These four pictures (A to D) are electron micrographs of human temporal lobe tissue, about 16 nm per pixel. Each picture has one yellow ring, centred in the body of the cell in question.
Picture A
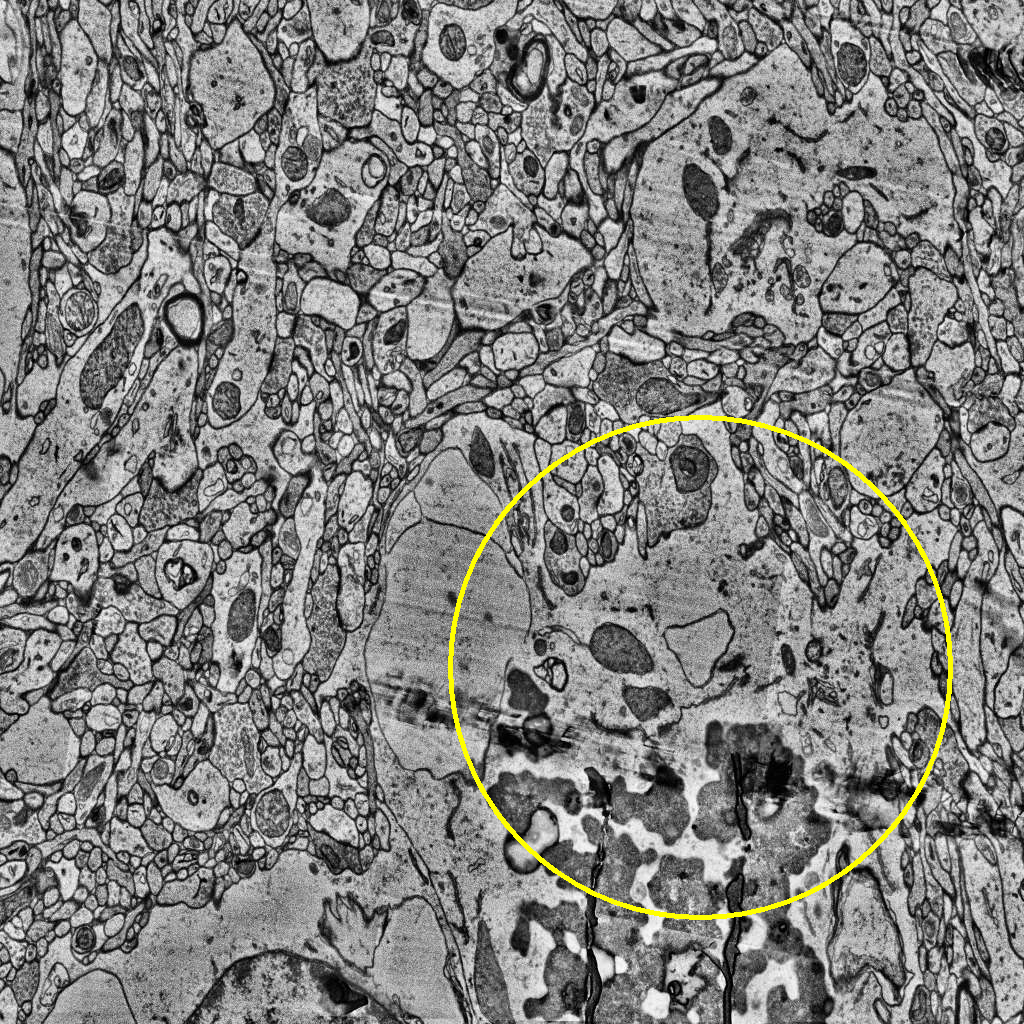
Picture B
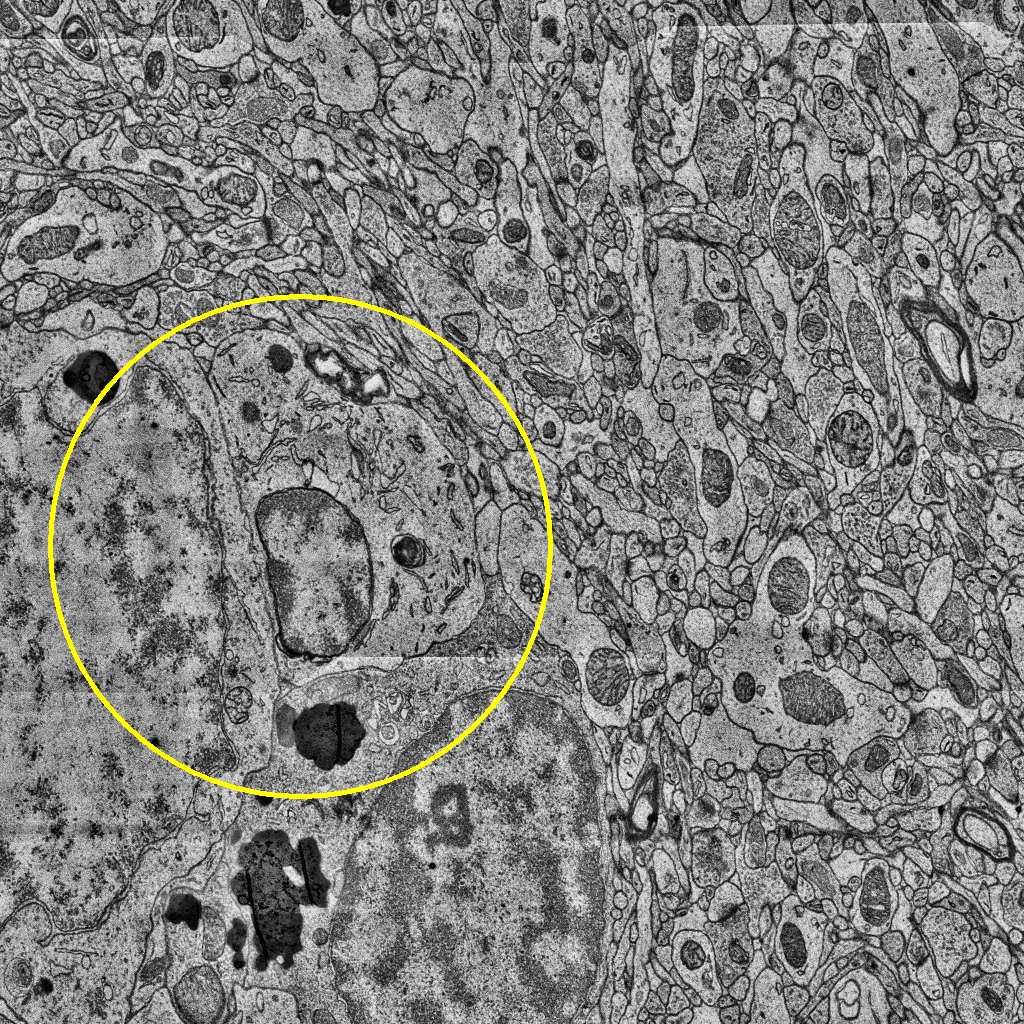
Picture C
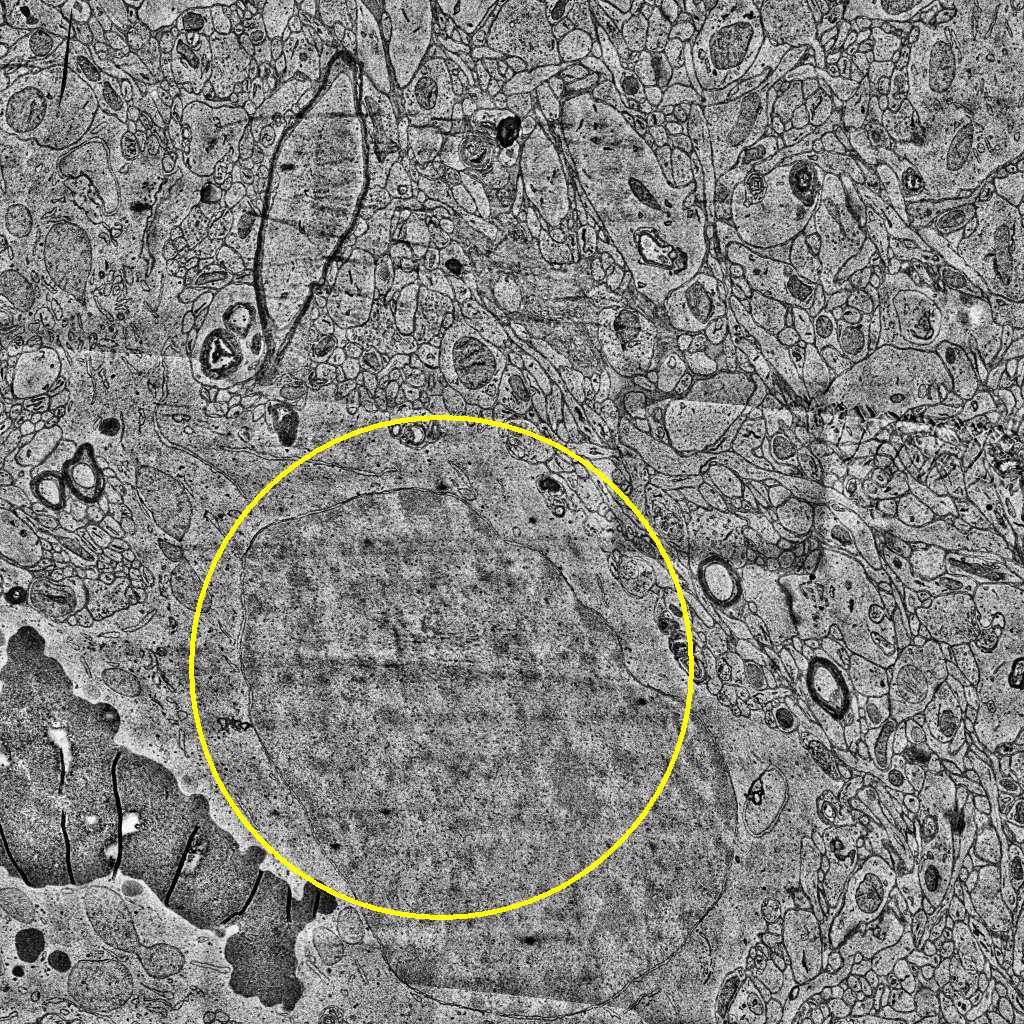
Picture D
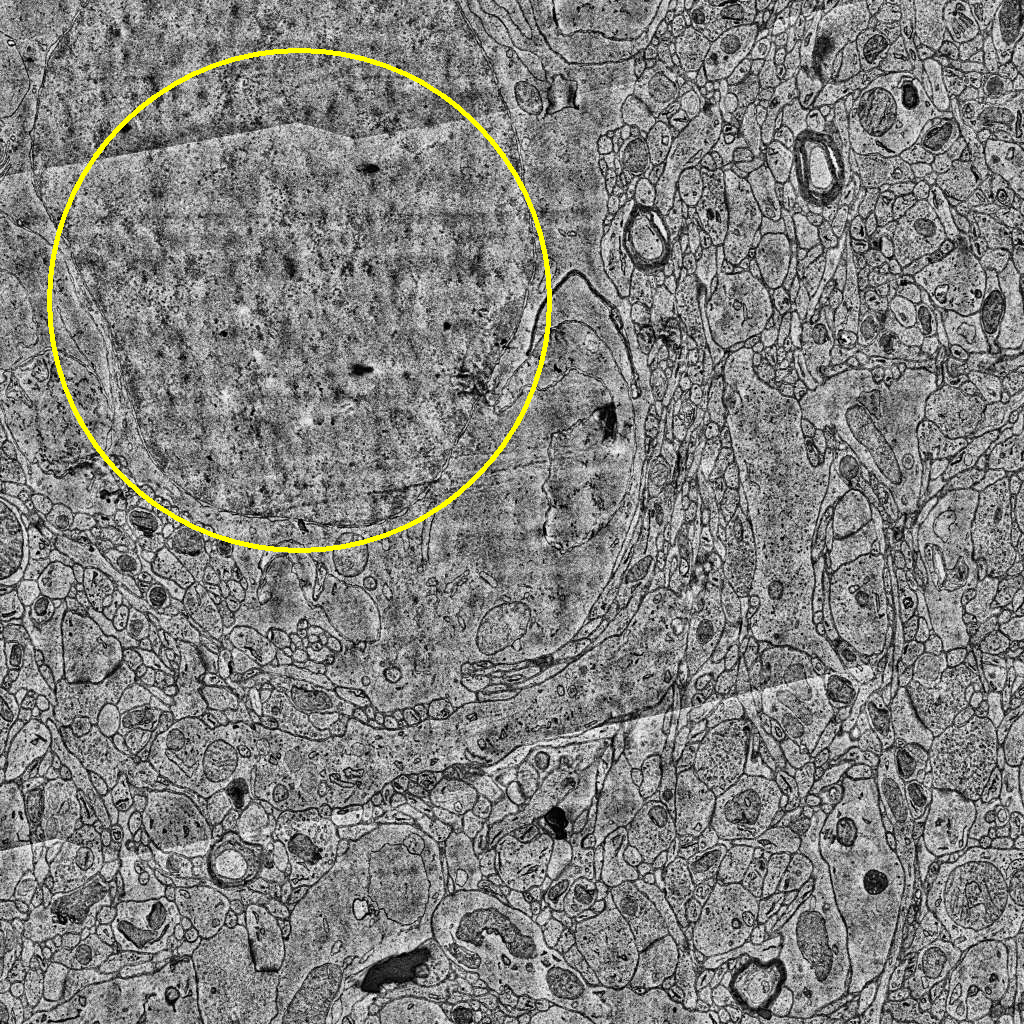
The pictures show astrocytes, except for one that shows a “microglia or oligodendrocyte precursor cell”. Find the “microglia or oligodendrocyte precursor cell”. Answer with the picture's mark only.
B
